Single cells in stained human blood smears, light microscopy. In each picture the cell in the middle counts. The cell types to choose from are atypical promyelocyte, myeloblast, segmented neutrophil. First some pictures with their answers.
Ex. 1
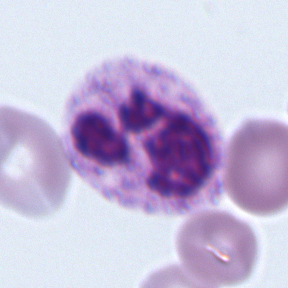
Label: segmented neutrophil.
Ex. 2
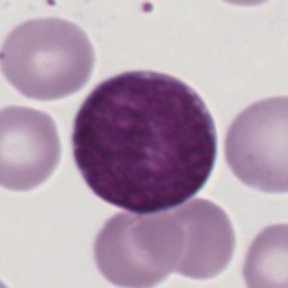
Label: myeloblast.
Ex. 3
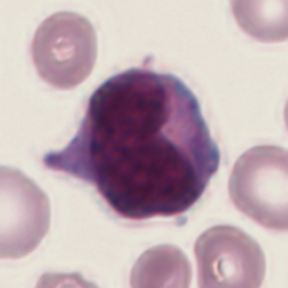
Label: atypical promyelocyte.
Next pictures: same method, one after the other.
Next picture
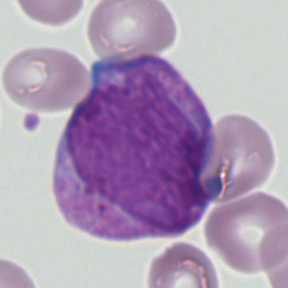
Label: atypical promyelocyte.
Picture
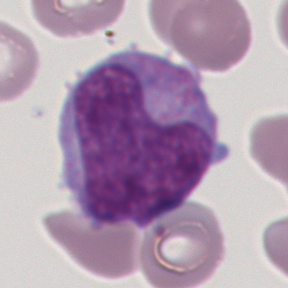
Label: atypical promyelocyte.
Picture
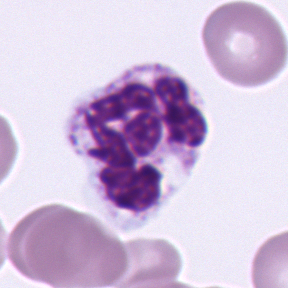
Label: segmented neutrophil.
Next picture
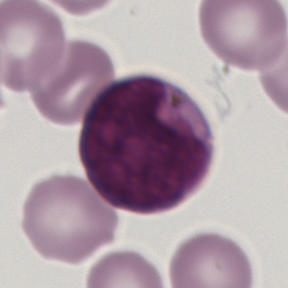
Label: myeloblast.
